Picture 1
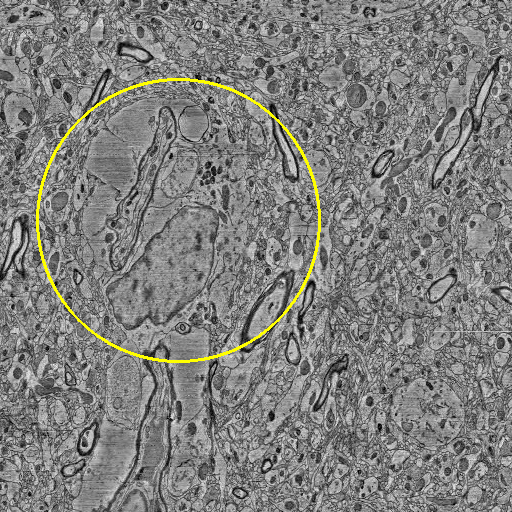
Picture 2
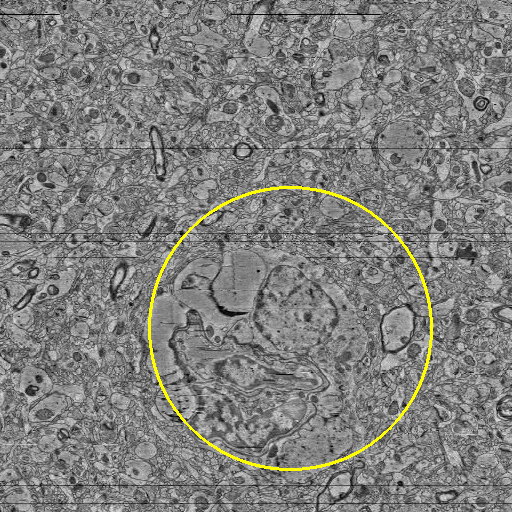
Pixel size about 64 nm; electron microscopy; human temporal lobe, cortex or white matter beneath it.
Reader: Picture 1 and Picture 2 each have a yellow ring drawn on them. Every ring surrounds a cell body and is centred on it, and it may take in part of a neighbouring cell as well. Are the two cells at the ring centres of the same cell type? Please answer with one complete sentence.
Yes, both cells are of the same cell type.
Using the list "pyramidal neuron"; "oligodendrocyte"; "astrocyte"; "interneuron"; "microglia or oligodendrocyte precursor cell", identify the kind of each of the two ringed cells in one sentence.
Both rings mark a microglial cell or oligodendrocyte precursor cell, one in each picture.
